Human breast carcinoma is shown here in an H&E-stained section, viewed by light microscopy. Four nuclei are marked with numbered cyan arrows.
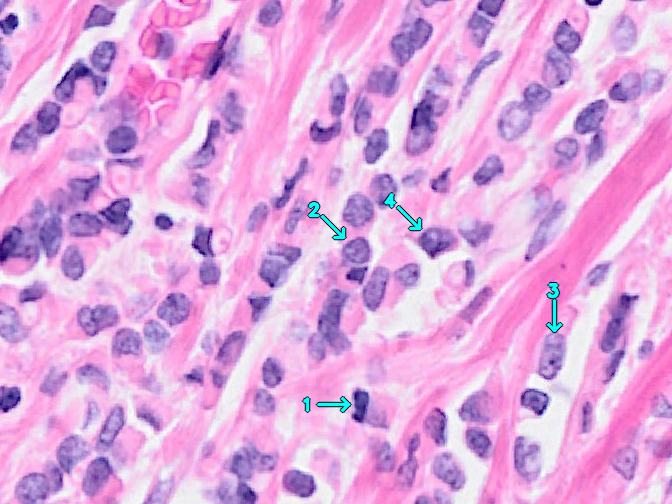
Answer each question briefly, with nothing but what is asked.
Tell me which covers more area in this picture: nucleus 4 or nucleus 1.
4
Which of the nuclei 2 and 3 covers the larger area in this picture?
3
